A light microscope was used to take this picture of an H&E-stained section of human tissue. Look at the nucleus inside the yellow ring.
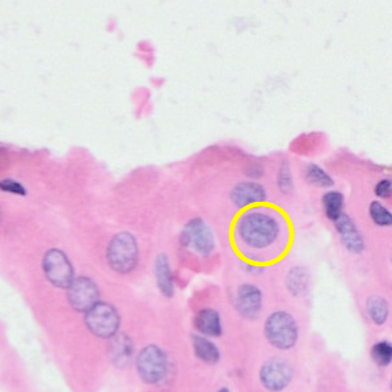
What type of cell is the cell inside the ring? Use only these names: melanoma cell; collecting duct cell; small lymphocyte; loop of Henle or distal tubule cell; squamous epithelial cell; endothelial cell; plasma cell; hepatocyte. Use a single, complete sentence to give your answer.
In the context of this tissue, the cell inside the ring is a collecting duct cell.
